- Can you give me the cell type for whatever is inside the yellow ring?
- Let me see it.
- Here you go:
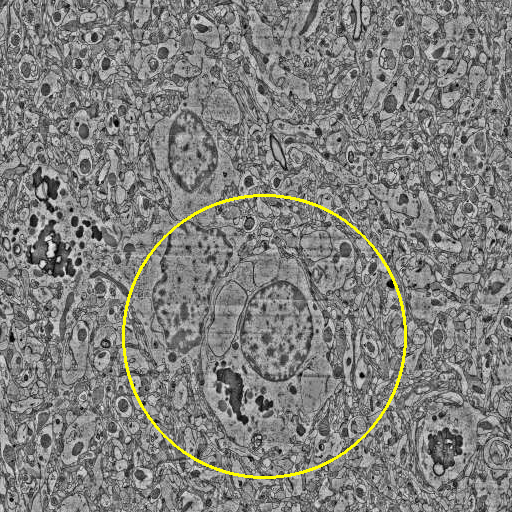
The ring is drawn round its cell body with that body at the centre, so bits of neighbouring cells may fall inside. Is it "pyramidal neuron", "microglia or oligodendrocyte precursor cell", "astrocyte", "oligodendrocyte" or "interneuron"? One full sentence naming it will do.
The cell body in the middle of the ring in this picture belongs to an astrocyte.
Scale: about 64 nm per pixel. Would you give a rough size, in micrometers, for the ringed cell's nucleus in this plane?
About 6 micrometres by about 5 micrometres in this plane.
